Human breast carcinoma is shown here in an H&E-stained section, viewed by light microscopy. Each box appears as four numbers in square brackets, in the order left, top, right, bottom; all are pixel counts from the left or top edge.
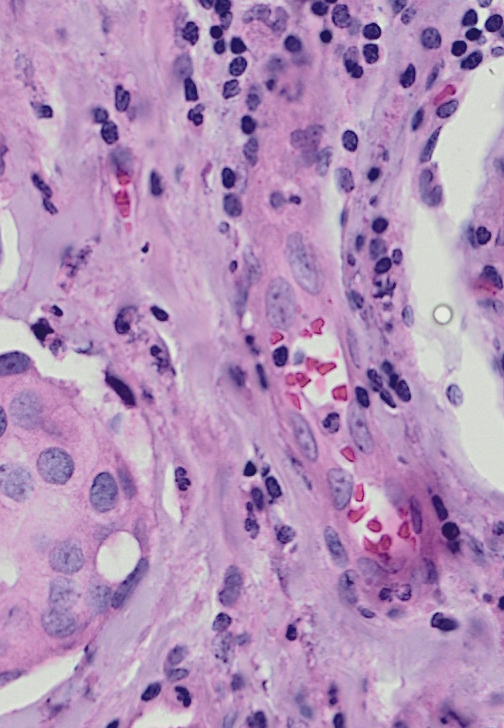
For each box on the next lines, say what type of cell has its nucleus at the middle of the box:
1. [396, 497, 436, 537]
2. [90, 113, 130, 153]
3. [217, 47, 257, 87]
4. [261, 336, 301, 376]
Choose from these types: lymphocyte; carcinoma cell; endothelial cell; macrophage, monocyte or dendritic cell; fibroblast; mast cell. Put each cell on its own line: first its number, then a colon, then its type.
1: endothelial cell
2: lymphocyte
3: lymphocyte
4: lymphocyte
